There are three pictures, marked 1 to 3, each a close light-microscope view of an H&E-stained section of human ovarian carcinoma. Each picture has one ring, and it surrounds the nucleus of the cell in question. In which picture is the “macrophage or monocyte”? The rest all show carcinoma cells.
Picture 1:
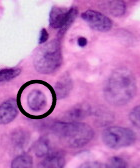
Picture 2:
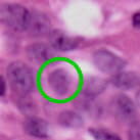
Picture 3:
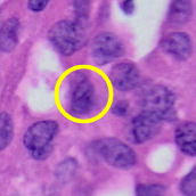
1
